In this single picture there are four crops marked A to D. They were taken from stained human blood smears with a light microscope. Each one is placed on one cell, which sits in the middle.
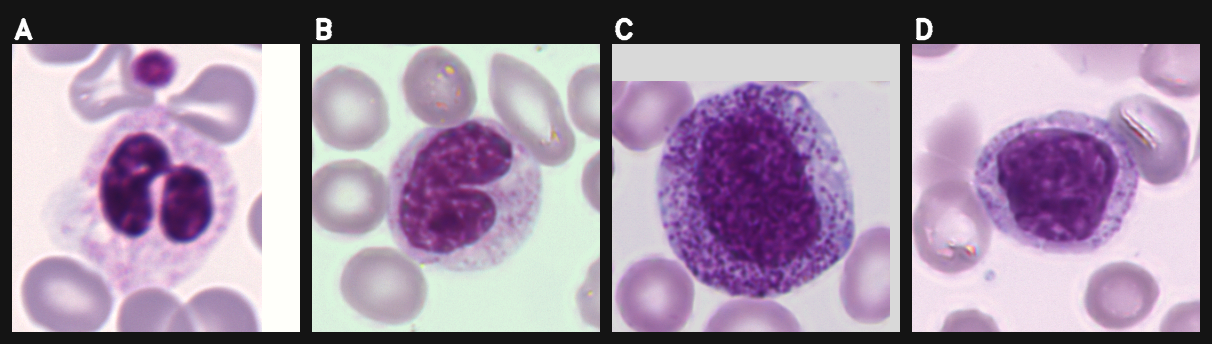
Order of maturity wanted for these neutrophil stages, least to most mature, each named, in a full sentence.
Ordered by maturity, from least to most, the crops are crop C (a promyelocyte), crop D (a myelocyte), crop B (a band neutrophil) and crop A (a segmented neutrophil).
